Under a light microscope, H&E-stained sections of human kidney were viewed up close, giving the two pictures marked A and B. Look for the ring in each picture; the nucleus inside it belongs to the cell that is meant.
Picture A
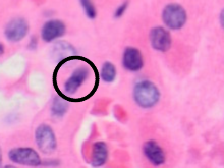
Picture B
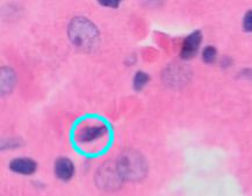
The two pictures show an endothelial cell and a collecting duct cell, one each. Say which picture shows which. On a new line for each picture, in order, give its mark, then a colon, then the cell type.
A: collecting duct cell
B: endothelial cell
